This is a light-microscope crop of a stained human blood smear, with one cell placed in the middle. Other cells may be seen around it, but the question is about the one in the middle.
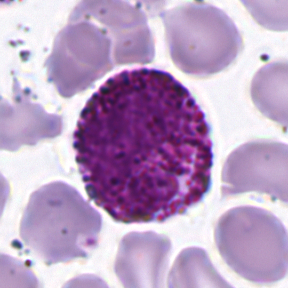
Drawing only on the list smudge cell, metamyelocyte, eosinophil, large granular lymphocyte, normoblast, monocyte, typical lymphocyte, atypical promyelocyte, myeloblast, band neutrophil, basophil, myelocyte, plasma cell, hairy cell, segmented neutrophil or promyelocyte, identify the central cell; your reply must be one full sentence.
Here the centrally located cell is a basophil.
